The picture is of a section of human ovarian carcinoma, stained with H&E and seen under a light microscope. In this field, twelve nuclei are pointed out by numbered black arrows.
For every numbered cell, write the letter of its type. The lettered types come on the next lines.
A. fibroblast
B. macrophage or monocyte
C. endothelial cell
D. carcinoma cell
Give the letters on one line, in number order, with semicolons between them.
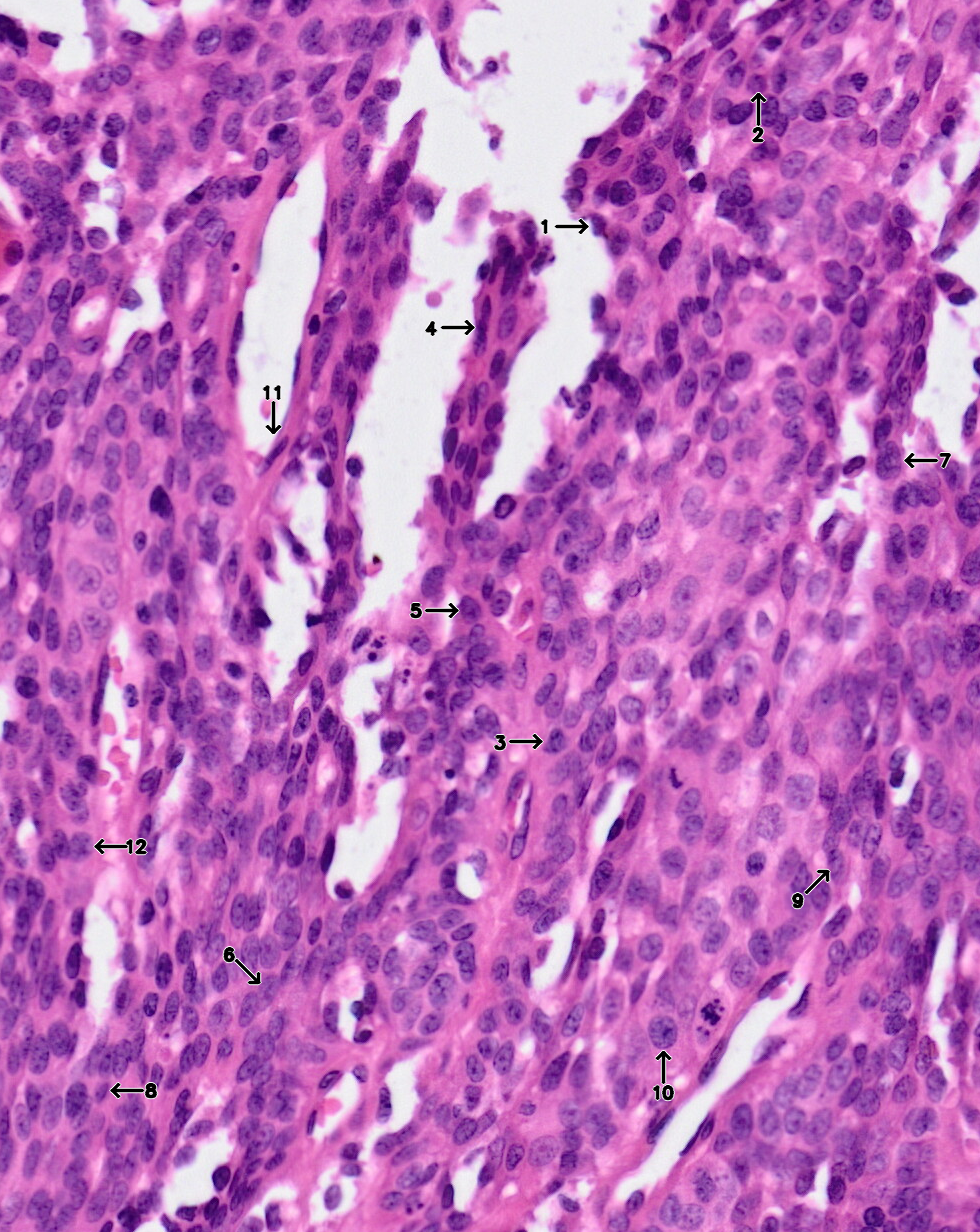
D; D; B; C; D; D; D; D; B; B; C; D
